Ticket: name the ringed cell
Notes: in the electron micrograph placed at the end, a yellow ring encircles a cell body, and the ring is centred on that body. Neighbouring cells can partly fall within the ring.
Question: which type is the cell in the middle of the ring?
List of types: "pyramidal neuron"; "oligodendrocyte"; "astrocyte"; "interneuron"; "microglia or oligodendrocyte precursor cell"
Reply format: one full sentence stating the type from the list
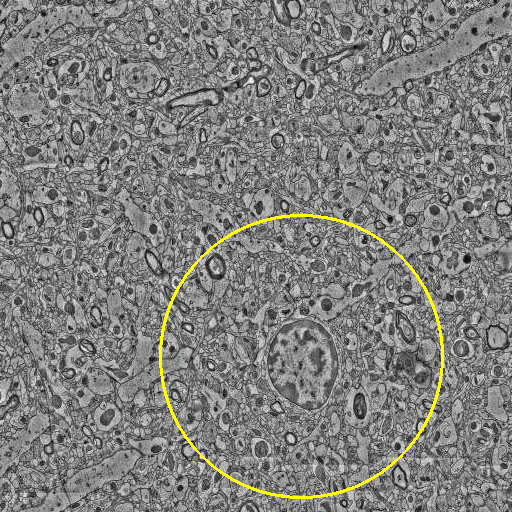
The cell sitting at the centre of the yellow ring is a microglial cell or oligodendrocyte precursor cell.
